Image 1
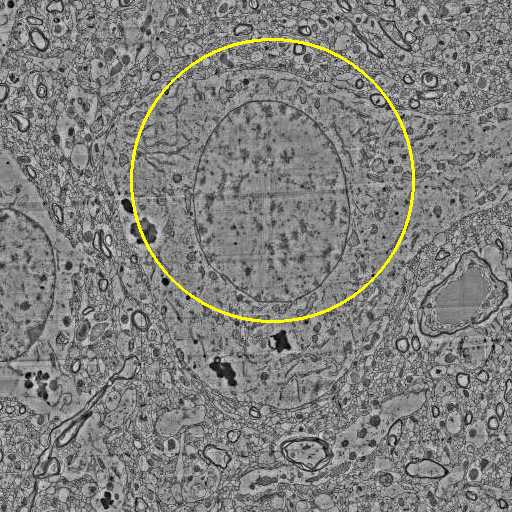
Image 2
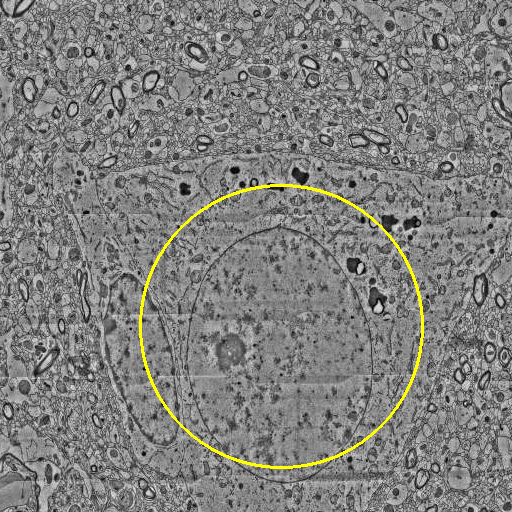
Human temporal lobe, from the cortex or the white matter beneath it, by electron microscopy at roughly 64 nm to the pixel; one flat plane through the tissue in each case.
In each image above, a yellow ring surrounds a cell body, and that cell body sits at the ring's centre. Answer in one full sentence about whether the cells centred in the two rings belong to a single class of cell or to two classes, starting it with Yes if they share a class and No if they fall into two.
Yes, the cells centred in the two yellow rings belong to a single class of cell.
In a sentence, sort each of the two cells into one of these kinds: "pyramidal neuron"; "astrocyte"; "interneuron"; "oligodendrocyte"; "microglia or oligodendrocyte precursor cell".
Each of the ringed cells, first and second, is a pyramidal neuron.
